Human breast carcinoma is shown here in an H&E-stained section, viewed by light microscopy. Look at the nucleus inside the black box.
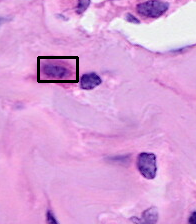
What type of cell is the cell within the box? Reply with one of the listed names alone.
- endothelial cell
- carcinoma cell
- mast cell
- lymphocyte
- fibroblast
mast cell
